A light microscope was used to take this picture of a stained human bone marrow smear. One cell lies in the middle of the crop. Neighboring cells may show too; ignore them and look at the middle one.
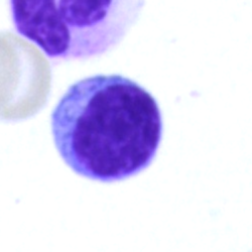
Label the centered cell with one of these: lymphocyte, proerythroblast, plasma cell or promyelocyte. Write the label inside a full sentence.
As for the central cell, it is a lymphocyte.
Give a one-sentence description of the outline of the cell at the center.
The cell shows a smooth outline that lacks any surface projections.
